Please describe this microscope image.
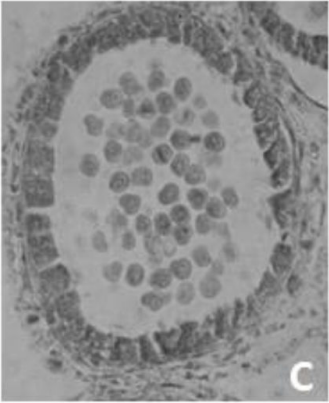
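A transverse section of an anther locule at the uninucleate microspore stage, with numerous small, round, evenly sized microspores lying free and separate in a wide, pale locule. The locule is lined by a continuous layer of dense, roughly rectangular tapetal cells, outside which further thin wall layers are seen.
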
